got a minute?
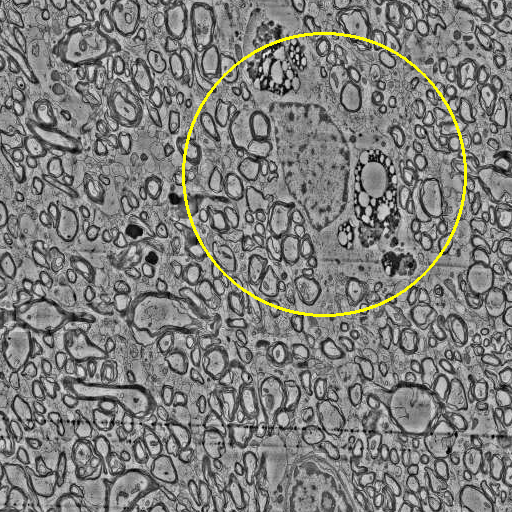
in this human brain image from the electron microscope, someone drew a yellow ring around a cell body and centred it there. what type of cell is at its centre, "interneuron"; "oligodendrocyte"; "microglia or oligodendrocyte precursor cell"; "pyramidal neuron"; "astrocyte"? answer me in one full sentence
It's an astrocyte at the middle of that yellow ring in the shot.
